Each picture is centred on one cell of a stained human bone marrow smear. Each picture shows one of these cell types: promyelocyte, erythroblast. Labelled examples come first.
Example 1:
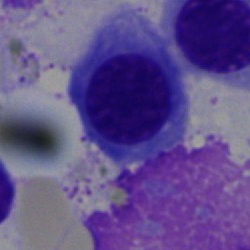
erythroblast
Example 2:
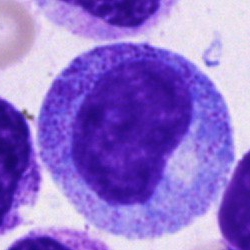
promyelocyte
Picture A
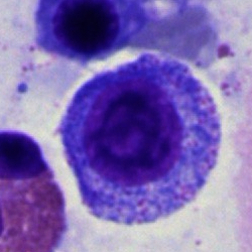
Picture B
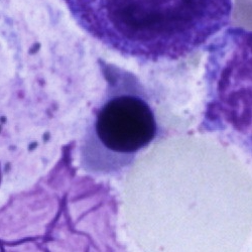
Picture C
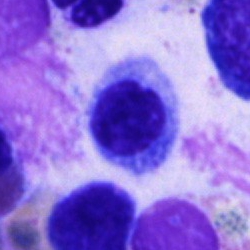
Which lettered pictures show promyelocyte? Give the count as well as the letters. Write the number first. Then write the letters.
1, namely A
